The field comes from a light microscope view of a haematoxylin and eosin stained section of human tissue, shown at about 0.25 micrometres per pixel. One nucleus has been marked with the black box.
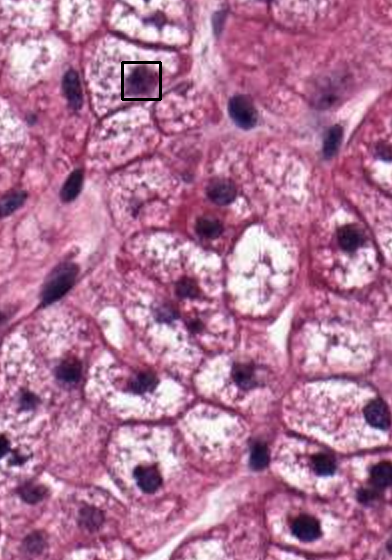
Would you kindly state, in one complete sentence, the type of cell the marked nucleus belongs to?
The cell bearing the marked nucleus is an adrenal cortical cell.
